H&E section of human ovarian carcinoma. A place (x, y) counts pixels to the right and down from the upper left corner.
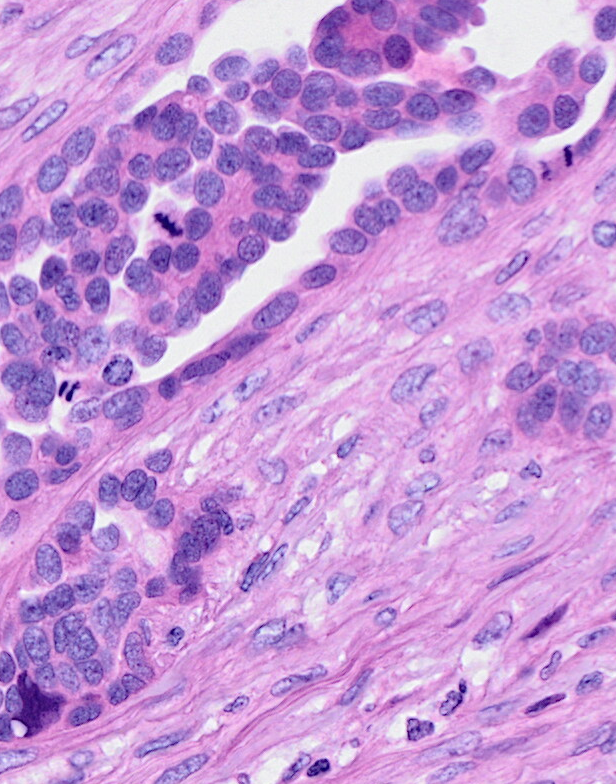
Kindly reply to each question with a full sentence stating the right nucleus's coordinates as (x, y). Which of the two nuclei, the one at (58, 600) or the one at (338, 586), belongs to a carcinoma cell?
Of the two nuclei, the nucleus belonging to a carcinoma cell is located at (58, 600).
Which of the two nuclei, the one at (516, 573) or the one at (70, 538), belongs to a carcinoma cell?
Of the two nuclei, the nucleus of a carcinoma cell is at (70, 538).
